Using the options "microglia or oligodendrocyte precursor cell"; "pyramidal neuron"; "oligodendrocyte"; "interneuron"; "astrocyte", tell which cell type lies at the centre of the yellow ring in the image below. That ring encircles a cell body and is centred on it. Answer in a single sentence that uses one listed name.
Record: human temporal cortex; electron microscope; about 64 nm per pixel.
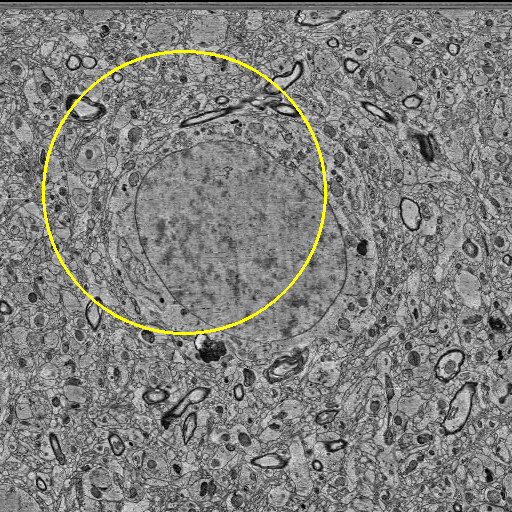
At the centre of the yellow ring lies the body of a pyramidal neuron.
